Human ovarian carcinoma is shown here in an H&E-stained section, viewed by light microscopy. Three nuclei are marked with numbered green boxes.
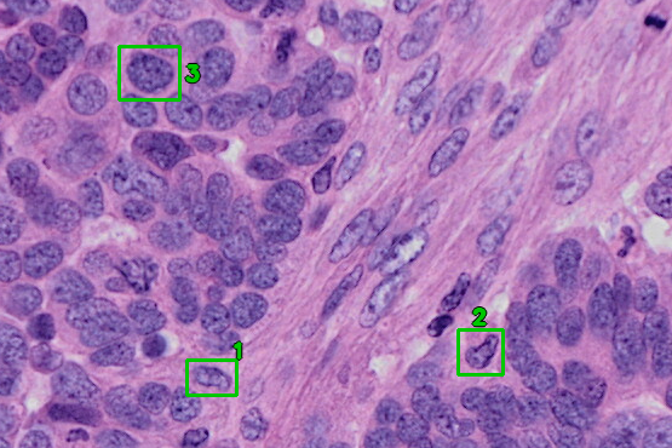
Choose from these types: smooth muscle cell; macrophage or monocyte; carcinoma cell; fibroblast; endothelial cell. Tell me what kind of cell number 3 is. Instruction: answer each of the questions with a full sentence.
The cell identified by the number 3 is a carcinoma cell.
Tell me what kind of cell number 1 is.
The identity of cell 1 is that of a fibroblast.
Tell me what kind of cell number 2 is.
Of the numbered cells, the one labelled 2 is a macrophage or monocyte.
